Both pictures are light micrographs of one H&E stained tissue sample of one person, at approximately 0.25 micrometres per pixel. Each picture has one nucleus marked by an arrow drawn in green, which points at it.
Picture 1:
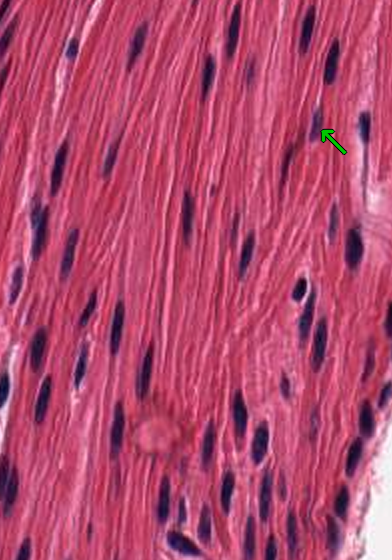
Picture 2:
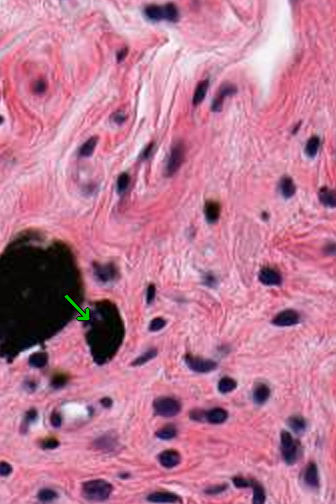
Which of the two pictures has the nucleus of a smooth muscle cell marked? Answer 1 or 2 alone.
1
